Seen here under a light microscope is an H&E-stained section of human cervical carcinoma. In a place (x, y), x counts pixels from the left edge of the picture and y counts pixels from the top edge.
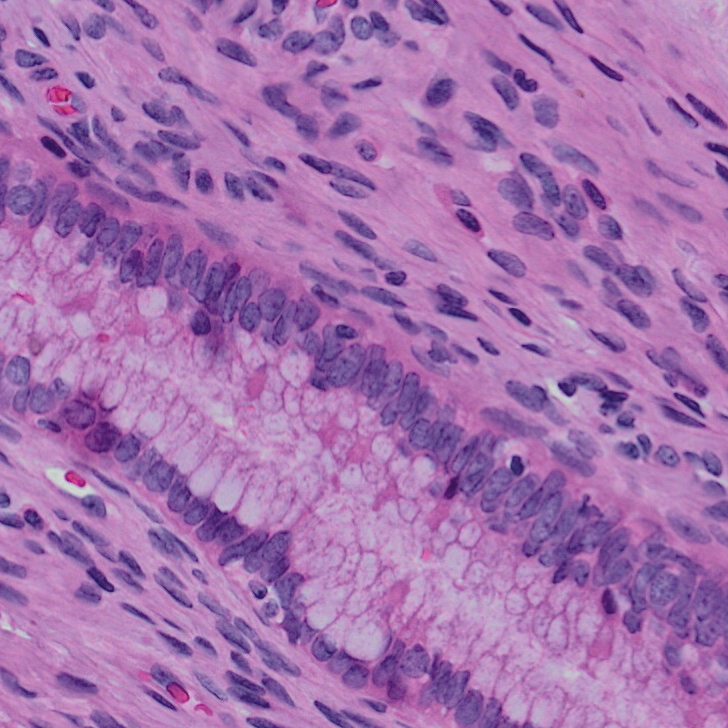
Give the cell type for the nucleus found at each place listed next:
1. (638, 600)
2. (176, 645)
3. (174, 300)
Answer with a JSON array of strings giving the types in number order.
["secretory epithelial cell", "fibroblast", "secretory epithelial cell"]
